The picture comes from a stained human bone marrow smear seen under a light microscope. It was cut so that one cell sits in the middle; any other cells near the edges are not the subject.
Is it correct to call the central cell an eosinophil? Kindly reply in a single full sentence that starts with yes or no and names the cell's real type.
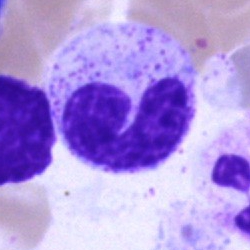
No, the cell positioned in the middle is a band neutrophil, not an eosinophil.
